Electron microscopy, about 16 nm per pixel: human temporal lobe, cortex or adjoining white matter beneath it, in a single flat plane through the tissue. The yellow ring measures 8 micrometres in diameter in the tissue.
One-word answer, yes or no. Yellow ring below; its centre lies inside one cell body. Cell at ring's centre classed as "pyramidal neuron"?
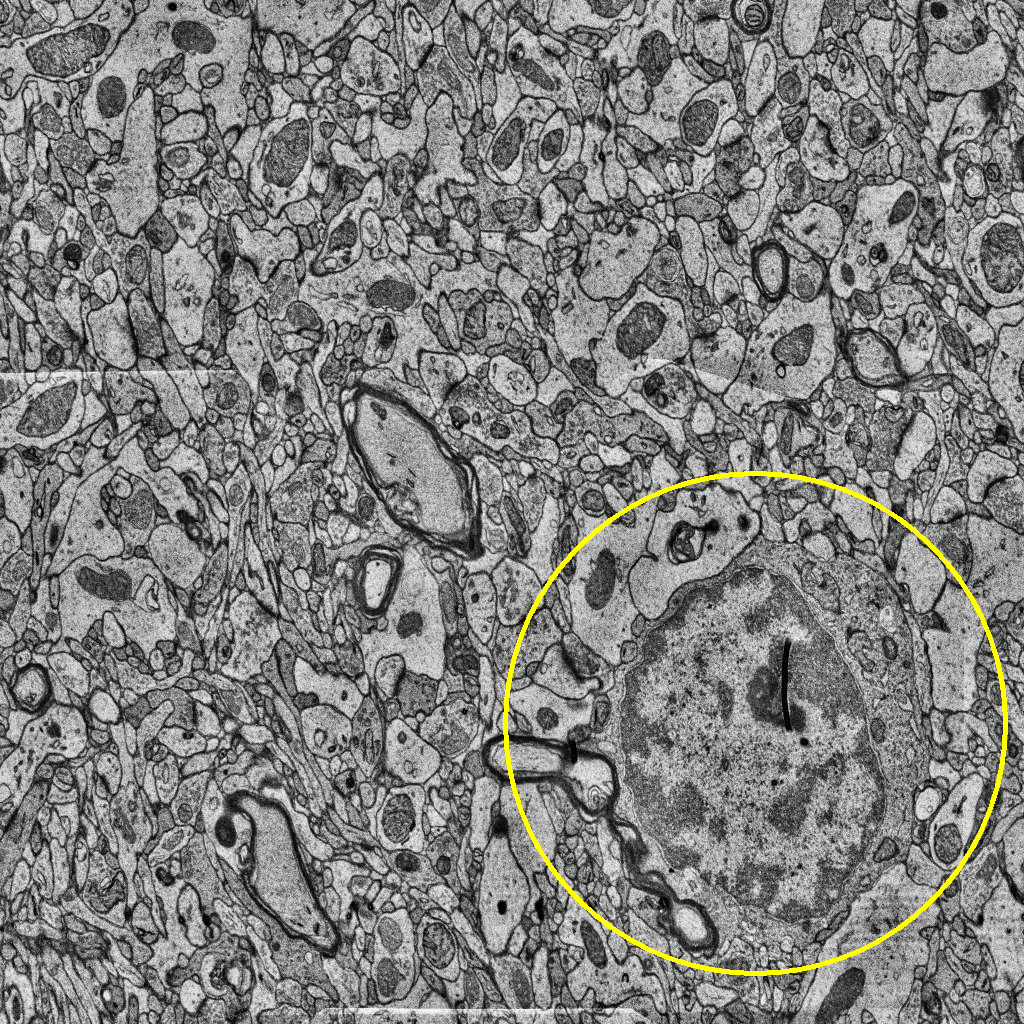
no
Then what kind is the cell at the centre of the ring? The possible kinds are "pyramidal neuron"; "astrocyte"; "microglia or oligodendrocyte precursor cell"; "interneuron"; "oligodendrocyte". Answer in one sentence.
The cell circled by the yellow ring is an oligodendrocyte.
